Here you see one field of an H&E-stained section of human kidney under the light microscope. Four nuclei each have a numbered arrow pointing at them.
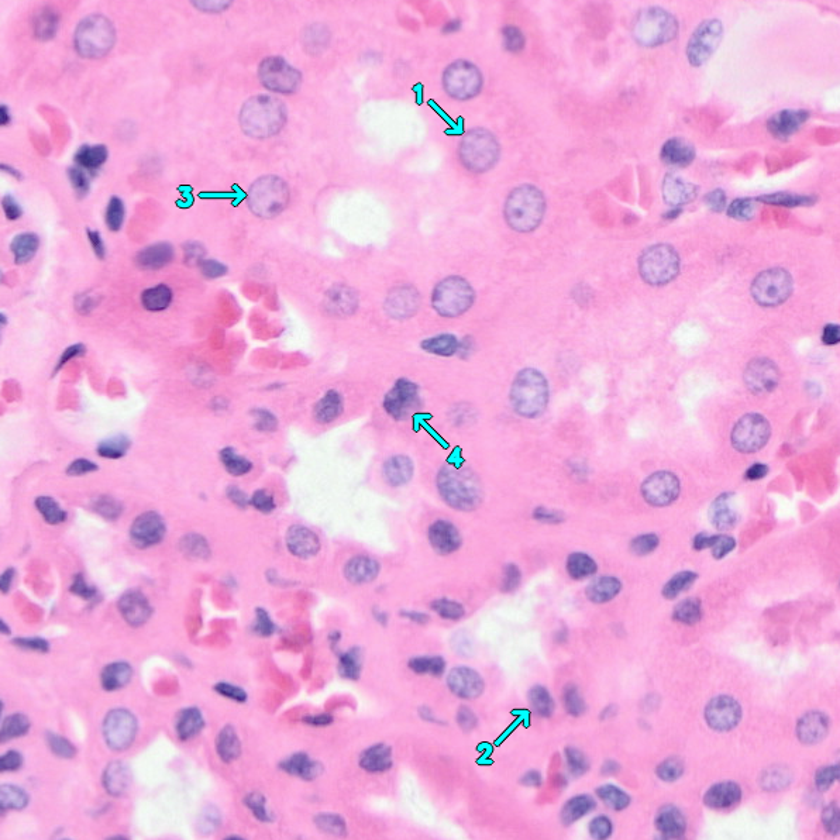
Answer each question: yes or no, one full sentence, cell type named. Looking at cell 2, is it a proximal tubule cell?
No, the cell with number 2 is not a proximal tubule cell but a loop of Henle or distal tubule cell.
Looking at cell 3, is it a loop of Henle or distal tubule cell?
No, cell 3 does not represent a loop of Henle or distal tubule cell; it represents a proximal tubule cell.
